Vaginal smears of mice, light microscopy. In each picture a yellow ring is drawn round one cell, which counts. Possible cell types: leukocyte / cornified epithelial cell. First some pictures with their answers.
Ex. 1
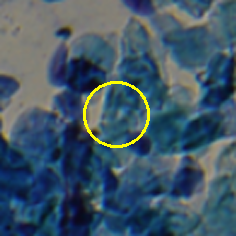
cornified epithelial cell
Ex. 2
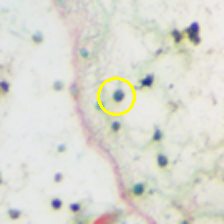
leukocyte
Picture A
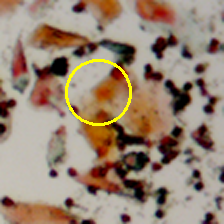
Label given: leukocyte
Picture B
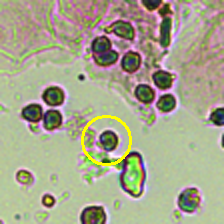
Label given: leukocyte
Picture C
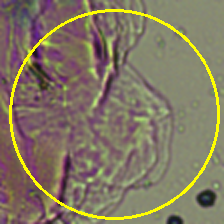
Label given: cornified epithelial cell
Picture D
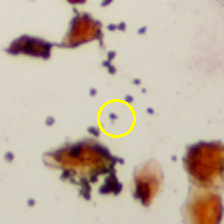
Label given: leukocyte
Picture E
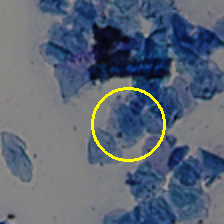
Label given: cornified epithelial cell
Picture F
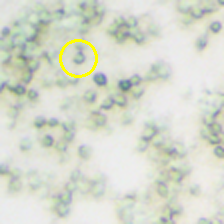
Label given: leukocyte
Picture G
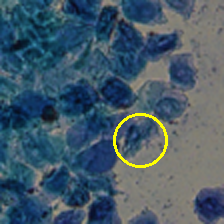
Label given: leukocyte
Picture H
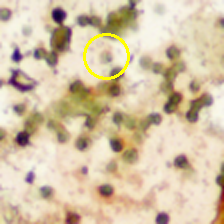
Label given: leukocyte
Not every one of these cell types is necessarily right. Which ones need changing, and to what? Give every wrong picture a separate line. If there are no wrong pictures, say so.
Wrong: A (leukocyte); correct: cornified epithelial cell
Wrong: G (leukocyte); correct: cornified epithelial cell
